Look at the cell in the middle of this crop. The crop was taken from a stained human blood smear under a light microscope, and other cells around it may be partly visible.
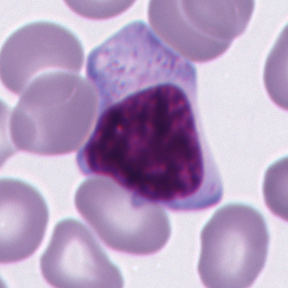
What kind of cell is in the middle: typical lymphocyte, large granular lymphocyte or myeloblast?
large granular lymphocyte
